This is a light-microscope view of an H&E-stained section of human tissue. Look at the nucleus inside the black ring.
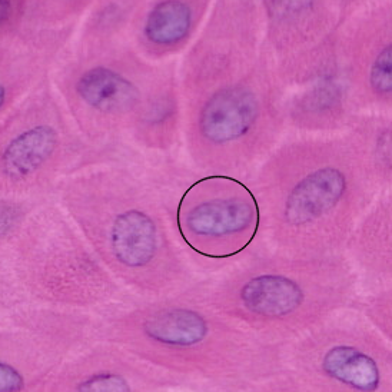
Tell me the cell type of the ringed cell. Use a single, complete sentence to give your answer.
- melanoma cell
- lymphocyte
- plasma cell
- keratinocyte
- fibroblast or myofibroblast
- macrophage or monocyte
To be brief about it, the ringed cell is a keratinocyte.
